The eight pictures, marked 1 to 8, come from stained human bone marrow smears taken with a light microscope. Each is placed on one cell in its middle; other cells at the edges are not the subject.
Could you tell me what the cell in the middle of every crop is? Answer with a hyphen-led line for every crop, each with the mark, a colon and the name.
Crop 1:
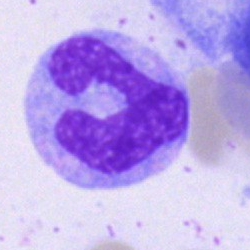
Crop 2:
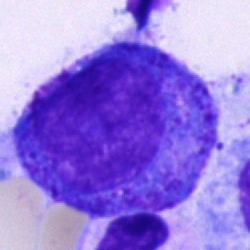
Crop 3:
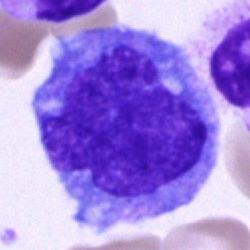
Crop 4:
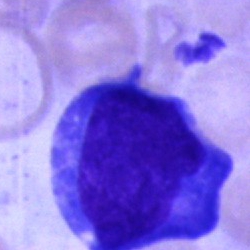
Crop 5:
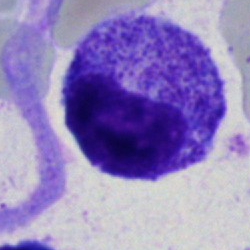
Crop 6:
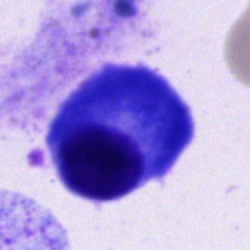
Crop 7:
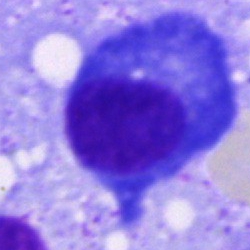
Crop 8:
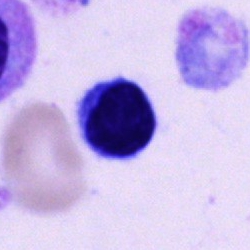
- 1: monocyte
- 2: promyelocyte
- 3: monocyte
- 4: blast
- 5: myelocyte
- 6: plasma cell
- 7: plasma cell
- 8: lymphocyte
